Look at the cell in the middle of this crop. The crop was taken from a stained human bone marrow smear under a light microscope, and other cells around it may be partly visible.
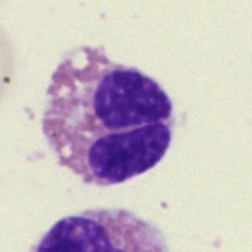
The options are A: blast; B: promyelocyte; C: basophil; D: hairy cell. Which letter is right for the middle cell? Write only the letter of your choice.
C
